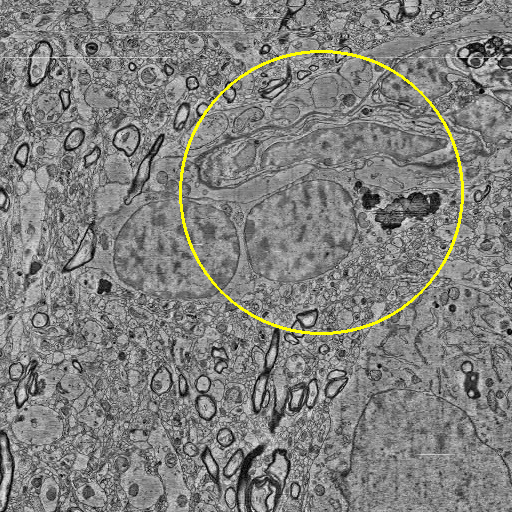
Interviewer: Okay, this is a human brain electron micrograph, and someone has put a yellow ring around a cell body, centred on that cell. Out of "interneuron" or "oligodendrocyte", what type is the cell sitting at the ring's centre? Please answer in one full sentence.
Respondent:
The cell at the centre of the yellow ring in this picture is an oligodendrocyte.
